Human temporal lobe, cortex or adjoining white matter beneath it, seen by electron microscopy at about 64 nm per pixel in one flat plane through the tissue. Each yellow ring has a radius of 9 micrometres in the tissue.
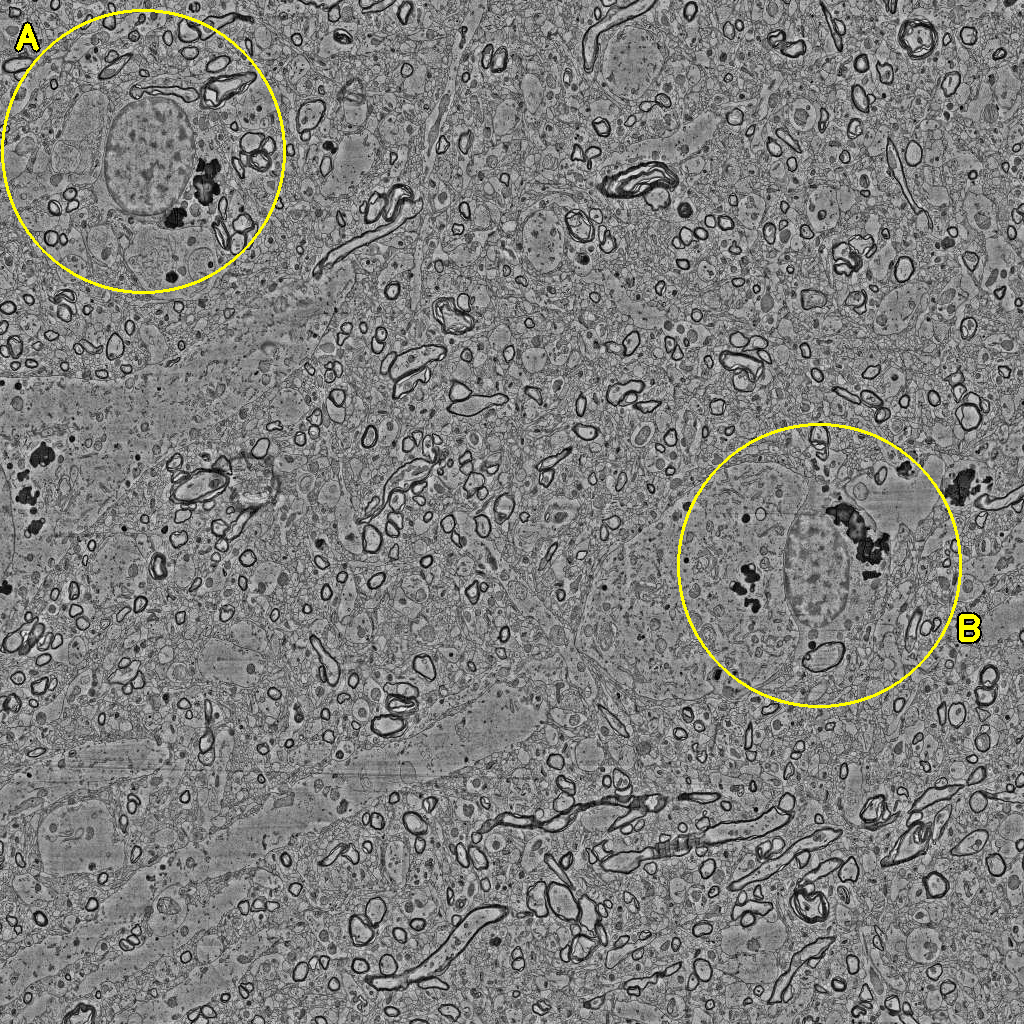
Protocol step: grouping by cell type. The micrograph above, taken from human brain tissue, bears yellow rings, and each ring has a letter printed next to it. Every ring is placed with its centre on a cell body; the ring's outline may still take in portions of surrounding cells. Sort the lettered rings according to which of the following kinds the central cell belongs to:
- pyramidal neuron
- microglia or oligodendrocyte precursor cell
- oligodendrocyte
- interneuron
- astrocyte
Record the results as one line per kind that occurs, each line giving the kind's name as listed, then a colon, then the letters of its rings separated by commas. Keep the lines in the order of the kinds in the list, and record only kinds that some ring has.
oligodendrocyte: A, B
